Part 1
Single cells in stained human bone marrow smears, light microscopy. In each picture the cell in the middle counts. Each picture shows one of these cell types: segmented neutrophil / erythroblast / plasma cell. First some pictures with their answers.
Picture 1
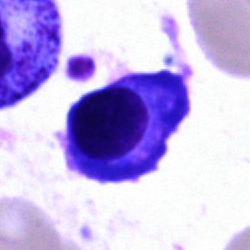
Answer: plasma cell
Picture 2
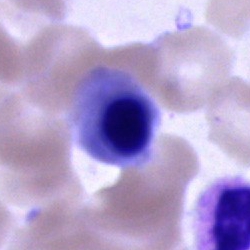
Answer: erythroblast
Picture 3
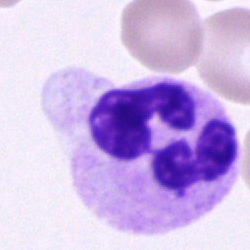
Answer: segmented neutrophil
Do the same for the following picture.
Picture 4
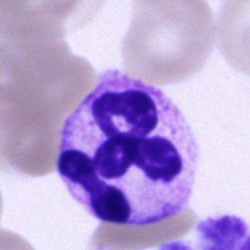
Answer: segmented neutrophil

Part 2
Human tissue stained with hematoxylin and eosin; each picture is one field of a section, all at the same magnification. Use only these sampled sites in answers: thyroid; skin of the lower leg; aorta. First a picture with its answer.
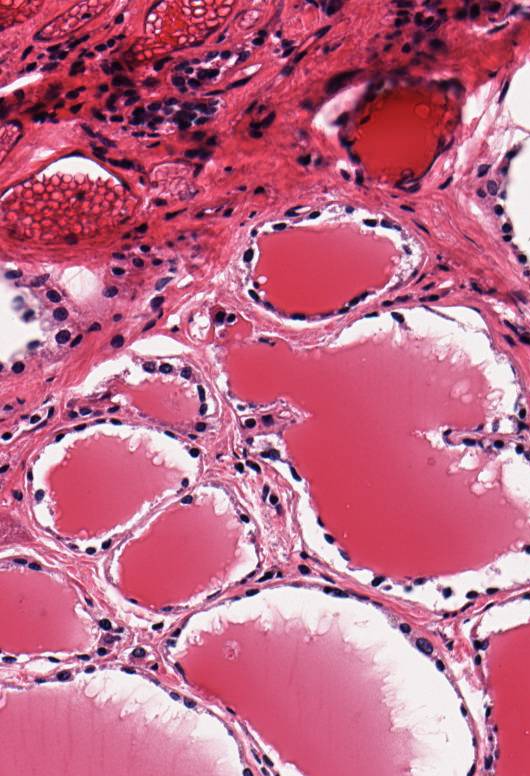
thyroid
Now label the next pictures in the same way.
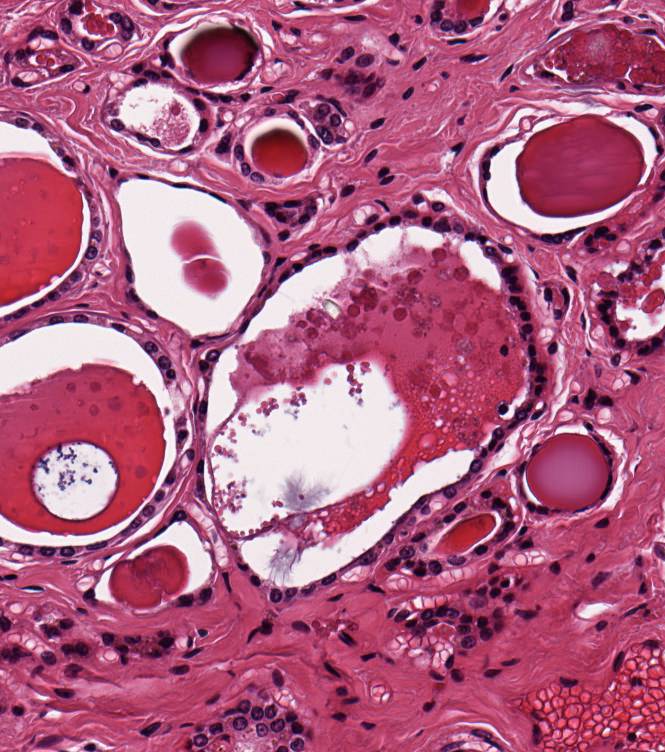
thyroid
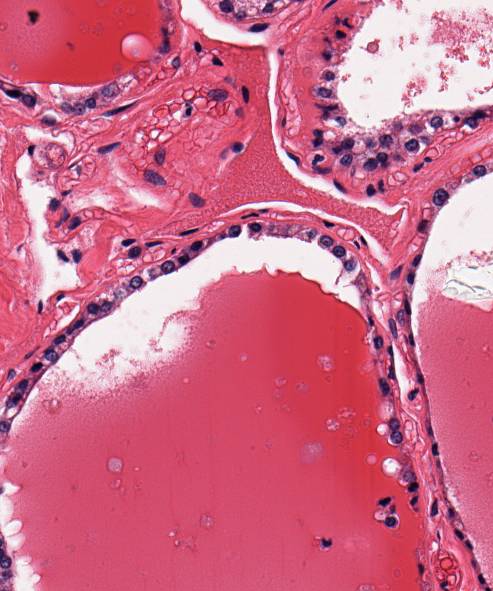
thyroid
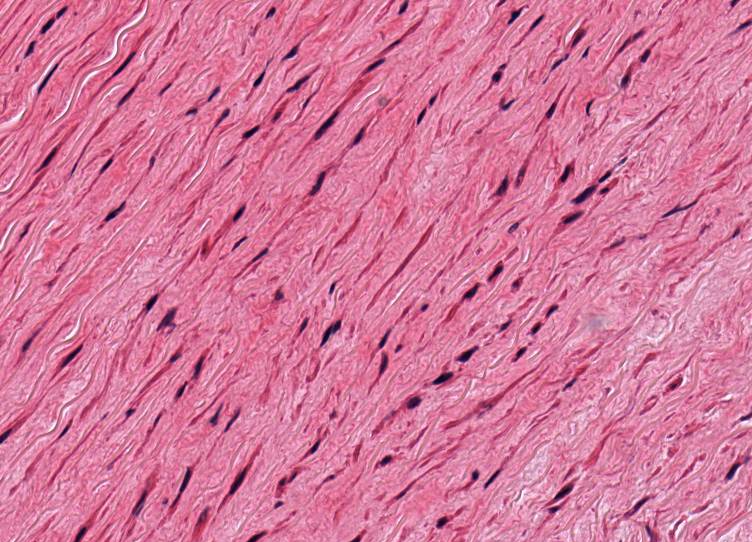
aorta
